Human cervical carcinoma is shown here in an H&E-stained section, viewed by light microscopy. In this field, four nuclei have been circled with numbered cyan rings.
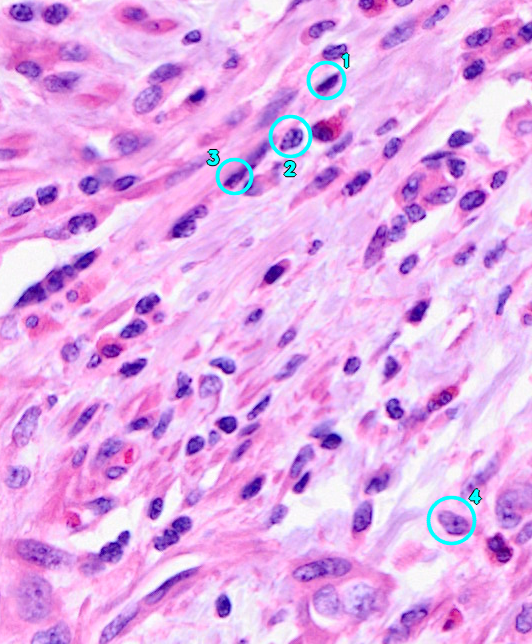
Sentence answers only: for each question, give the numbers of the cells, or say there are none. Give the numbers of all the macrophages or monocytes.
It is cell 4, and no other numbered cell, that is a macrophage or monocyte.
